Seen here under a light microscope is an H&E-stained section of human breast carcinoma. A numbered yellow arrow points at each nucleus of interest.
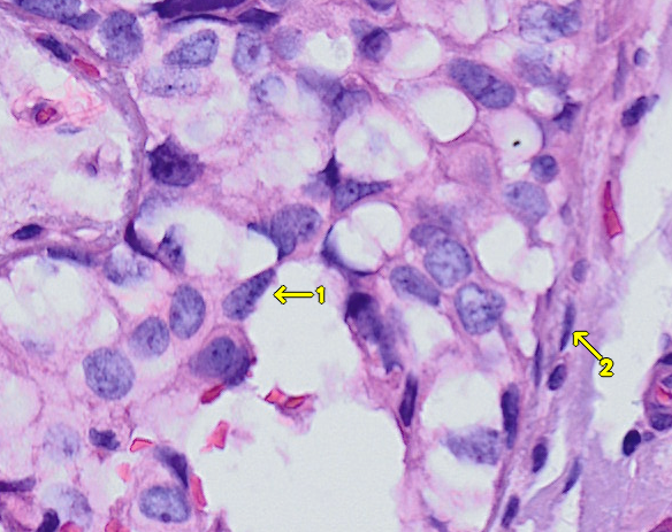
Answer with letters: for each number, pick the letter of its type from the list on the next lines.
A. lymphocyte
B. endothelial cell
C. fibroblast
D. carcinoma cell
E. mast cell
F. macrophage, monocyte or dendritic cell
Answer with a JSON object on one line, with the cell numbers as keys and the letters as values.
{"1": "D", "2": "C"}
